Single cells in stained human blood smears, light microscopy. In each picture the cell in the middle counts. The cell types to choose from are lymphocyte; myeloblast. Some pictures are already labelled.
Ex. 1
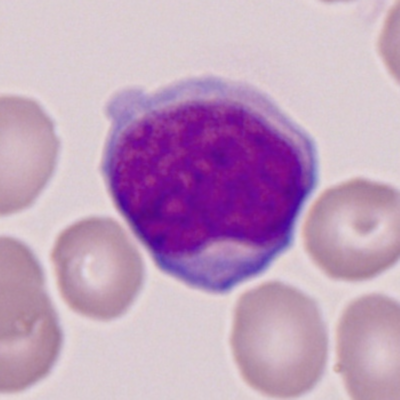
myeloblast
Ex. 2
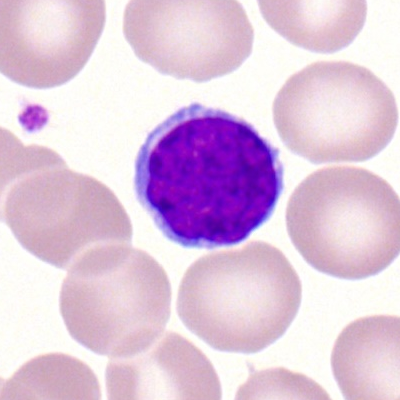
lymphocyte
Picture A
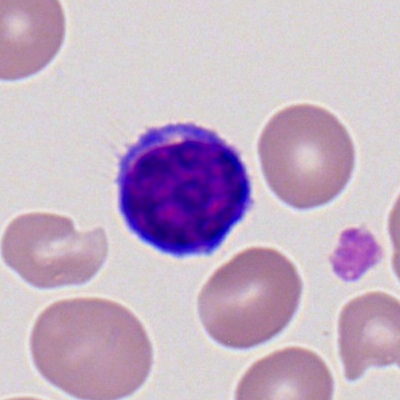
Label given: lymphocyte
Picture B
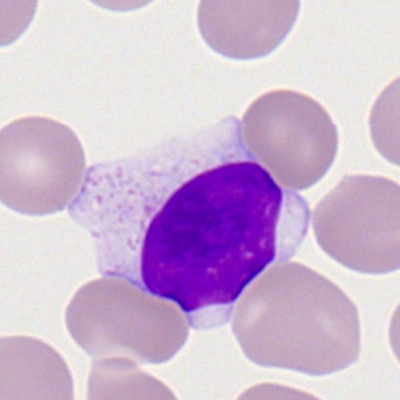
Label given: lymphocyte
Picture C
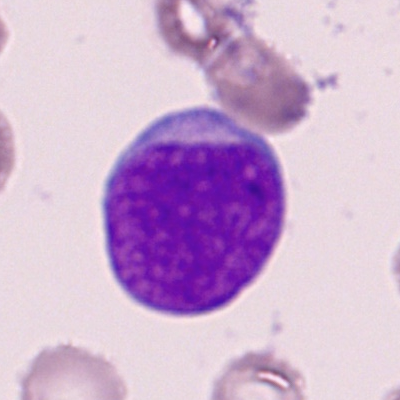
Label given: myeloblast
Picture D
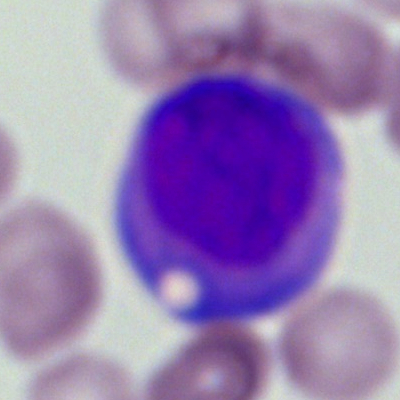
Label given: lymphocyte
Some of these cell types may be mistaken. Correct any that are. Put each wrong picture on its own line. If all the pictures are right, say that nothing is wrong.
Wrong: D (lymphocyte); correct: myeloblast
